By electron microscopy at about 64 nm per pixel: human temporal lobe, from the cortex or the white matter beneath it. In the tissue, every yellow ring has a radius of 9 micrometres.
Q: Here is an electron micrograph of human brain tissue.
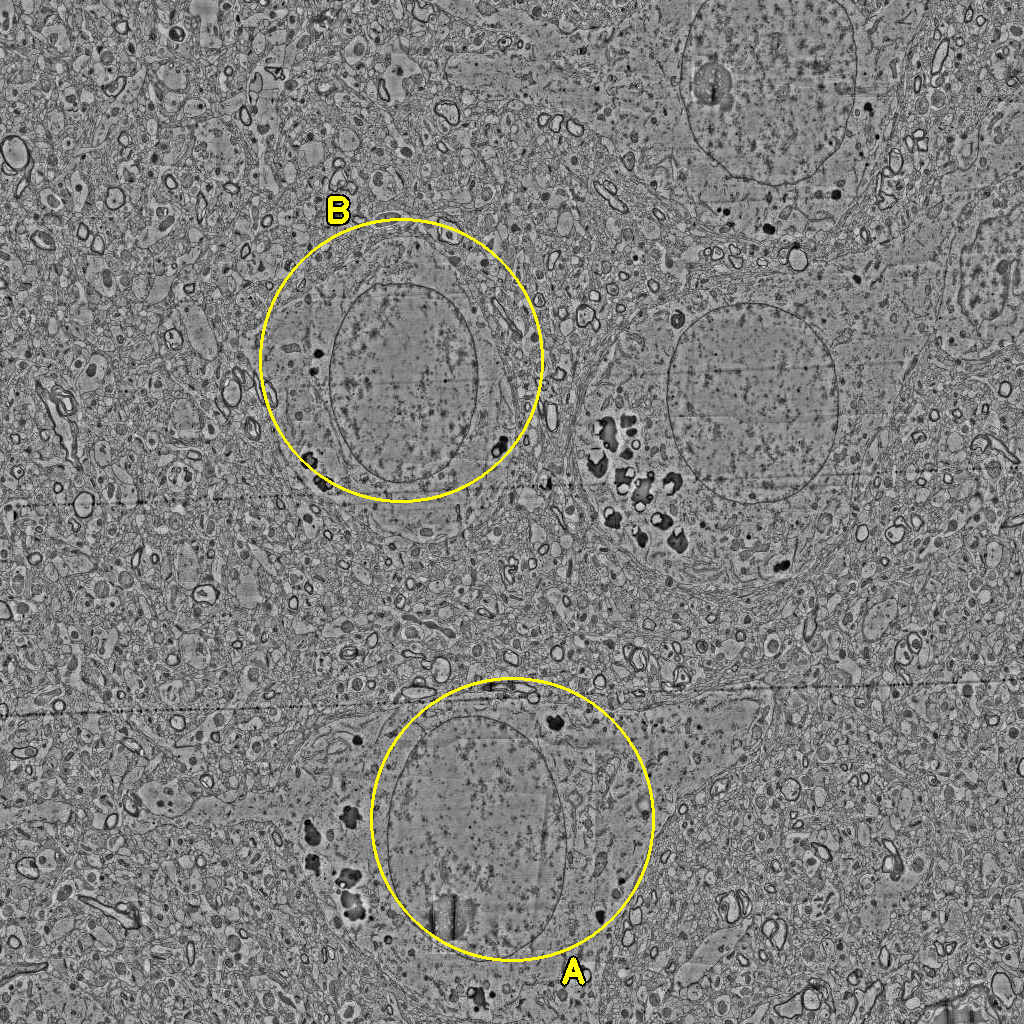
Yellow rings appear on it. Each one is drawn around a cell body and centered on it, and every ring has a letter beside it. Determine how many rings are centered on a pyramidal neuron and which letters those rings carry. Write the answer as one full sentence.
The two rings tagged with the letters A and B are each centred on a pyramidal neuron.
